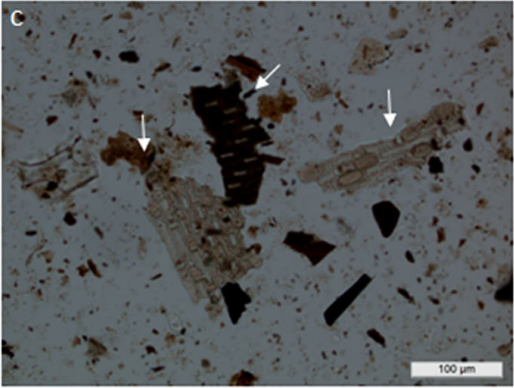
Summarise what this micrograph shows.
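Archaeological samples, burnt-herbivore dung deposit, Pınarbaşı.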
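Several multicelled phytolith fragments from grass leaves and stems lie among abundant debris. Pale translucent plates show joined cells, one with elongated cells in parallel files. A large dark brown to black fragment with a faint cellular pattern lies in the middle. Many opaque black angular particles are scattered across the field.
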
